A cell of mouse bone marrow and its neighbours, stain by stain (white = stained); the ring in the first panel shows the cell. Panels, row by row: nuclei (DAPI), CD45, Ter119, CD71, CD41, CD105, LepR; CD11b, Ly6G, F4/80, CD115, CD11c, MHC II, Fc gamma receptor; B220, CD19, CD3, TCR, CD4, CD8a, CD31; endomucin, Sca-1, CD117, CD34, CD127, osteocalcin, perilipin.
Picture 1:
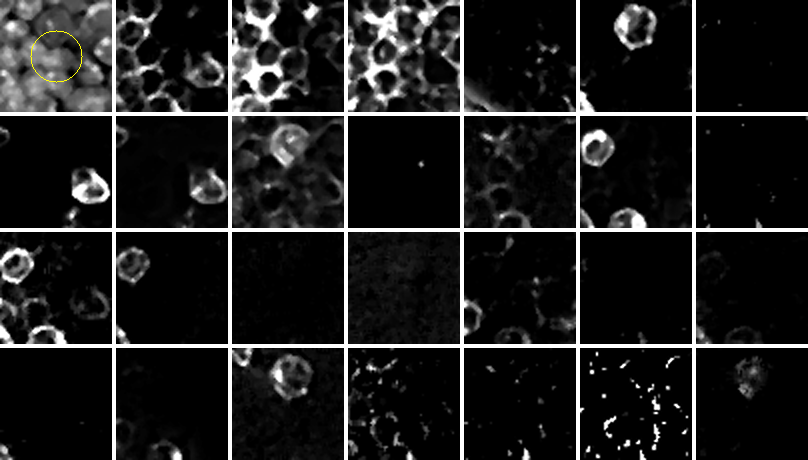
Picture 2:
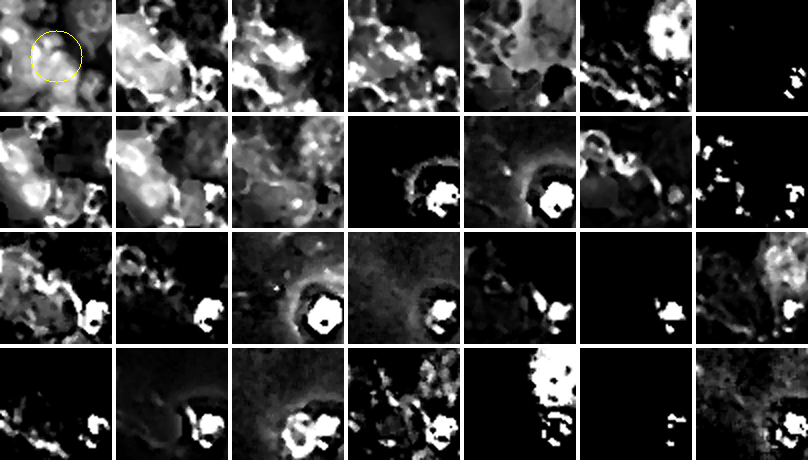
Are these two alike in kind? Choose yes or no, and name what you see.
Yes. Erythroblasts.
